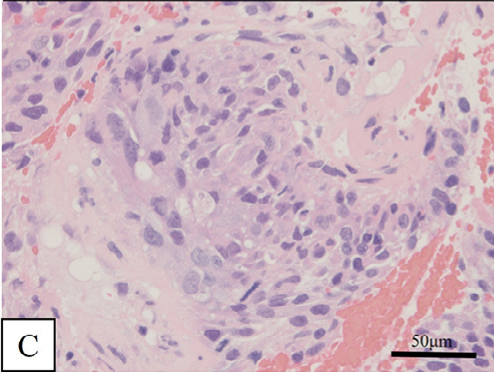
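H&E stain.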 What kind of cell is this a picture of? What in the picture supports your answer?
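Cells range from elongated with oval nuclei to plump polygonal forms. Nuclei are enlarged and irregular, with pink cytoplasm.
Spindle‐shaped to polygonal tumor cells.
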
